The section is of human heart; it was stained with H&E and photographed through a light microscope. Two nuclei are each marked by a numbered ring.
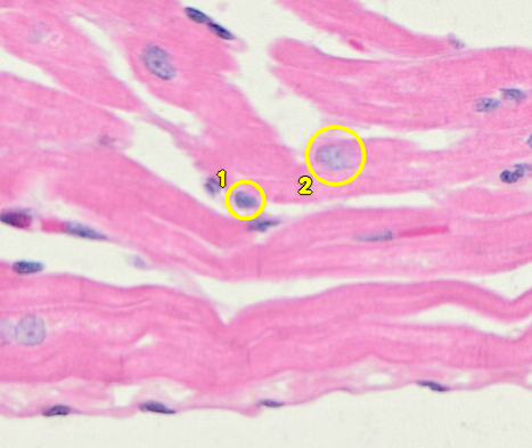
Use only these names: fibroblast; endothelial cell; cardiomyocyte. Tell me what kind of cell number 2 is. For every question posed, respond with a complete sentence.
Cell 2 in the field of view is a cardiomyocyte.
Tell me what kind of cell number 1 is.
The cell that goes by number 1 is a fibroblast.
